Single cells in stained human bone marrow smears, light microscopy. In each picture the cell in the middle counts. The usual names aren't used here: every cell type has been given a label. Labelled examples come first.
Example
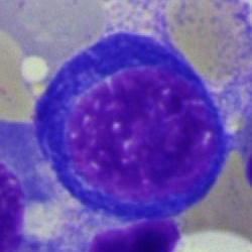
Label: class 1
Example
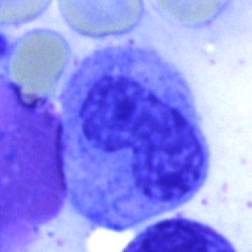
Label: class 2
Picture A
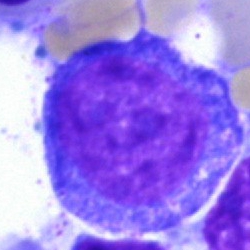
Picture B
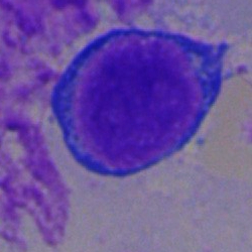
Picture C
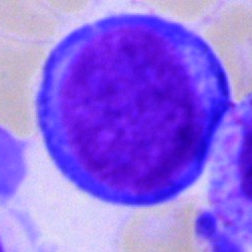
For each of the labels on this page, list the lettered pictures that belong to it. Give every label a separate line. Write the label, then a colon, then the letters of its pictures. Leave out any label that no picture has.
class 1: A, B, C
